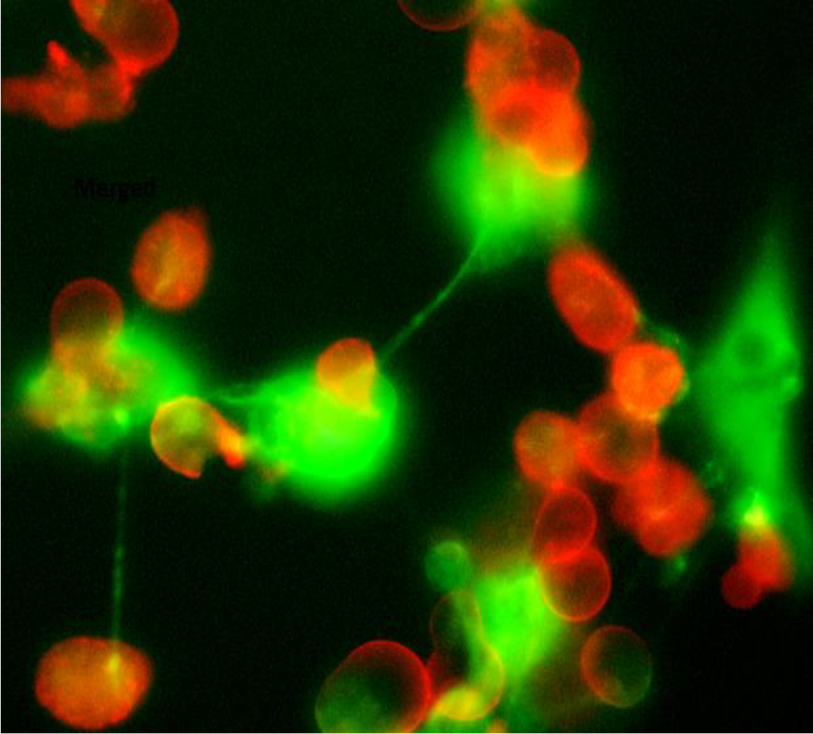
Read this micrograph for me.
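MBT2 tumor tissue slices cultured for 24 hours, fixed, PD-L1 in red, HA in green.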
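The green cells are large and irregular, with long thin processes that stretch across the field and reach toward other cells. The red cells are compact and round to oval, their colour densest at the rim, and they gather in clusters pressed against and partly over the green cells. Where the two touch, the colours overlap in yellowish patches.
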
